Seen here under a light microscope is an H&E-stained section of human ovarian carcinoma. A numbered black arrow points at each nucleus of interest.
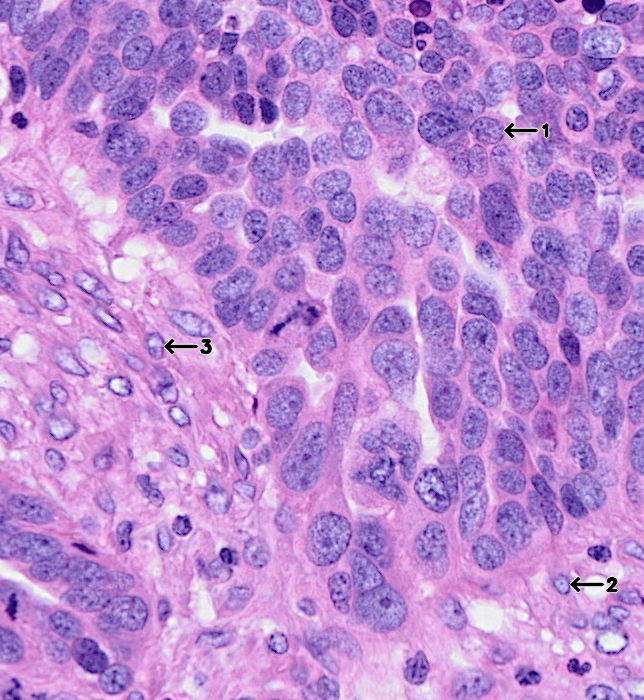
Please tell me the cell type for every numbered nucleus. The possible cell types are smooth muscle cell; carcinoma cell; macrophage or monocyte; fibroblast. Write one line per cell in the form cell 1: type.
cell 1: carcinoma cell
cell 2: fibroblast
cell 3: fibroblast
